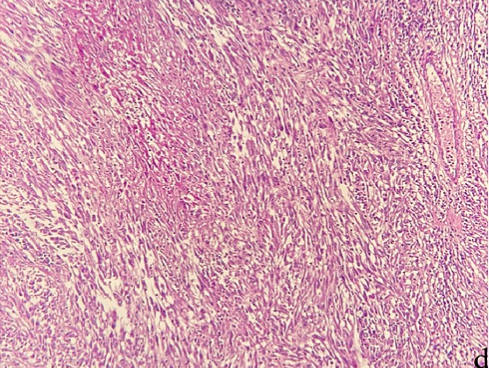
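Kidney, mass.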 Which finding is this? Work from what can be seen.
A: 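Elongated spindle-shaped cells fill the field. The cells are arranged in streaming fascicles. Nuclei are elongated and crowded. So: Sarcomatoid pattern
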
